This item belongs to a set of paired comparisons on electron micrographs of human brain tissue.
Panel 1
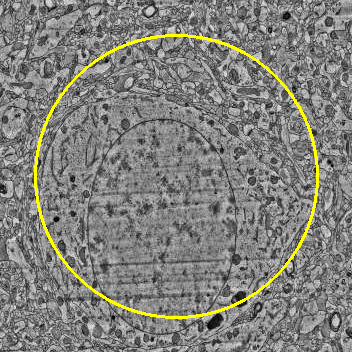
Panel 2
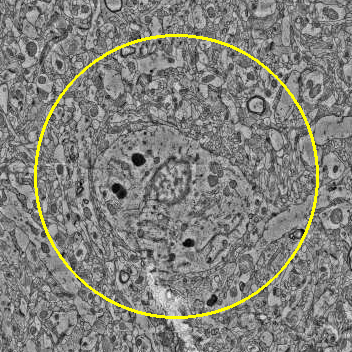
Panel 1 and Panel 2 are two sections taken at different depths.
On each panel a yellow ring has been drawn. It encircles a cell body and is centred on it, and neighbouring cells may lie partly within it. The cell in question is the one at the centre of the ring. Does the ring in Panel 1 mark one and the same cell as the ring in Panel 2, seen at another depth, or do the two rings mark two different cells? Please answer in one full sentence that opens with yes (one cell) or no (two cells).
No, the rings mark two cells rather than a single cell.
